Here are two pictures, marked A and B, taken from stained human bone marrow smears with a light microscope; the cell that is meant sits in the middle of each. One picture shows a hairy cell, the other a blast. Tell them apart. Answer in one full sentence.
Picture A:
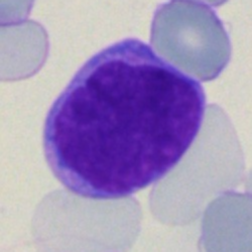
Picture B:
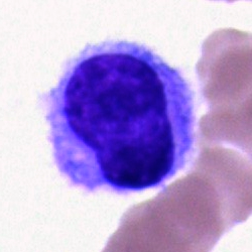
Picture B shows a hairy cell, while picture A shows a blast.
